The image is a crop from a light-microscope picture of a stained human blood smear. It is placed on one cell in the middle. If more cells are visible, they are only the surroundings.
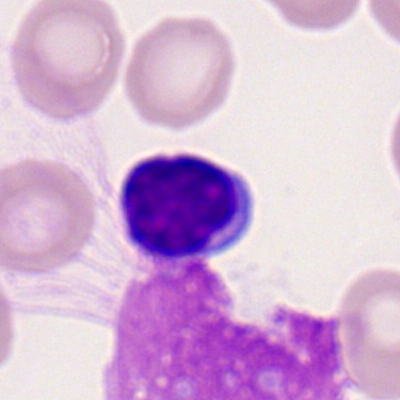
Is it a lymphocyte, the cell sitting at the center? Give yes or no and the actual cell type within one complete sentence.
Yes, the cell shown in the middle is a lymphocyte.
